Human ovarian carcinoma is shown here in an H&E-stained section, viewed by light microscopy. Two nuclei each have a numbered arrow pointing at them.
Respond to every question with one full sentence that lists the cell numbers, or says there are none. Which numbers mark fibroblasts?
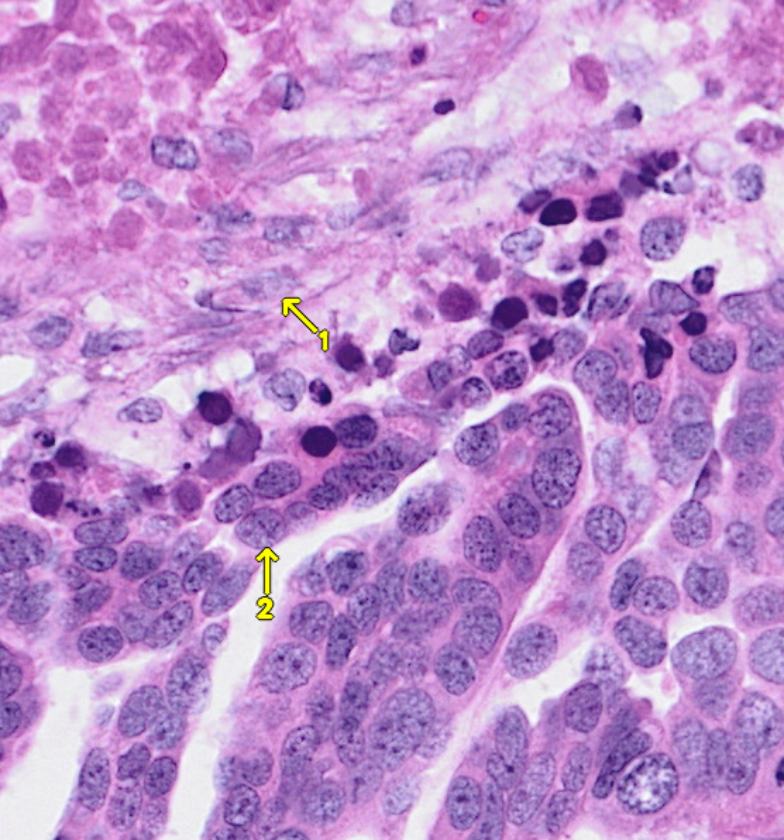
Of the cells marked with numbers, cell 1 is the only one that is a fibroblast.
